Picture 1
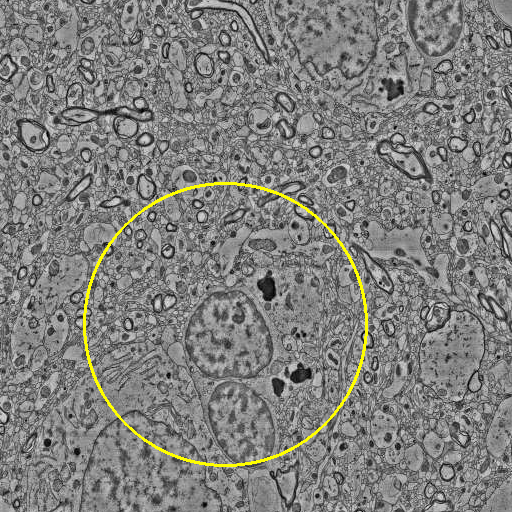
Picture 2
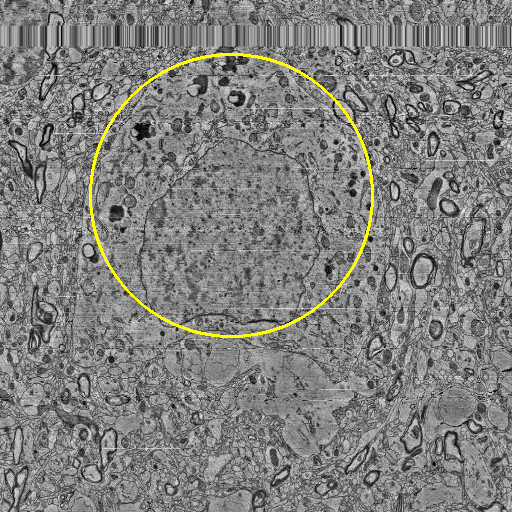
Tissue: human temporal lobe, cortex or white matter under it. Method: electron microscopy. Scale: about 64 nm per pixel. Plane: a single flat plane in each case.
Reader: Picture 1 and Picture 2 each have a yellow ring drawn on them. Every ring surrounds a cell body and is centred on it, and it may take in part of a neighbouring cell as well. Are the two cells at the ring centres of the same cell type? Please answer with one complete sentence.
No, the cells are of two cell types.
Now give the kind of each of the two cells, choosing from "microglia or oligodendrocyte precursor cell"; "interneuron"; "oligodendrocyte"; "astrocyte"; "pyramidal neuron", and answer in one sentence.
The cell in the first picture is an oligodendrocyte, and the cell in the second is a pyramidal neuron.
